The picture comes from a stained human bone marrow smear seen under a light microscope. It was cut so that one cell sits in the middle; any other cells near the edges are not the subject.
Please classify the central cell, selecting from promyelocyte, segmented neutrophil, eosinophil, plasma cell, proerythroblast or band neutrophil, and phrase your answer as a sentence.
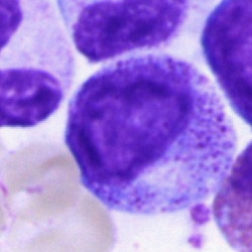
Looking at the middle of the crop, the cell there is a promyelocyte.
